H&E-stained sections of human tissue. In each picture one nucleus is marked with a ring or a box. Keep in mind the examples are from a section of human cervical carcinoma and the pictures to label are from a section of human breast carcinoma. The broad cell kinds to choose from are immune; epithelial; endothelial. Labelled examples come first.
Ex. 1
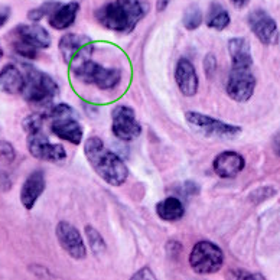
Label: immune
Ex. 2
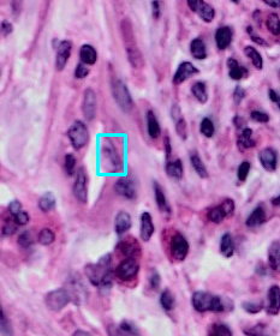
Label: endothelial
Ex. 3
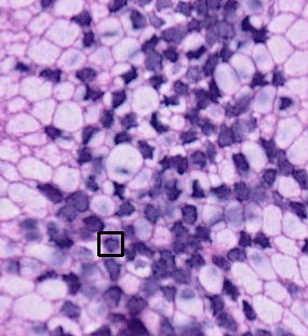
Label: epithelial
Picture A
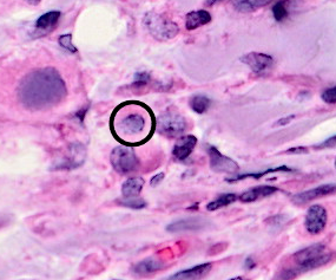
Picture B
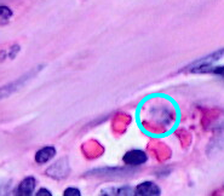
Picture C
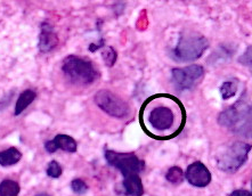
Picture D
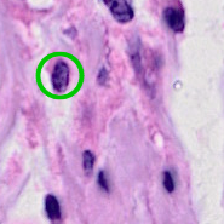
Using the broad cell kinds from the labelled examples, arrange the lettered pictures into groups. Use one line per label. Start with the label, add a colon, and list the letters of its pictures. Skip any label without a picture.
immune: A, D
epithelial: C
endothelial: B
